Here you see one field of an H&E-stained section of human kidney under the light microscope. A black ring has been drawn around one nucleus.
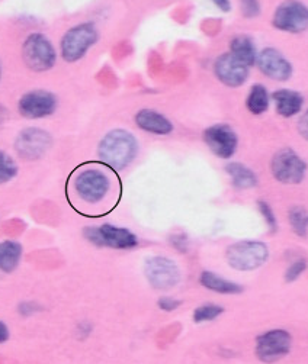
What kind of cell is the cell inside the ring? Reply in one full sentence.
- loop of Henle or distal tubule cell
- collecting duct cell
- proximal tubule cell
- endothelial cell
In the context of this tissue, the cell inside the ring is a collecting duct cell.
